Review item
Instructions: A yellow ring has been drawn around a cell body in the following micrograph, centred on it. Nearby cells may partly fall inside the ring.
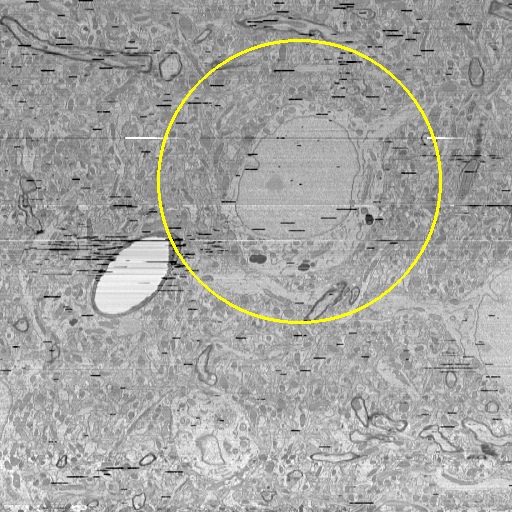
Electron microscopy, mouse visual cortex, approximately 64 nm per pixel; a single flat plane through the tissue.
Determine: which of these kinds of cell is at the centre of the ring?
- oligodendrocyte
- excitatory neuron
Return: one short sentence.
The cell body in the middle of the ring is that of an excitatory neuron.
